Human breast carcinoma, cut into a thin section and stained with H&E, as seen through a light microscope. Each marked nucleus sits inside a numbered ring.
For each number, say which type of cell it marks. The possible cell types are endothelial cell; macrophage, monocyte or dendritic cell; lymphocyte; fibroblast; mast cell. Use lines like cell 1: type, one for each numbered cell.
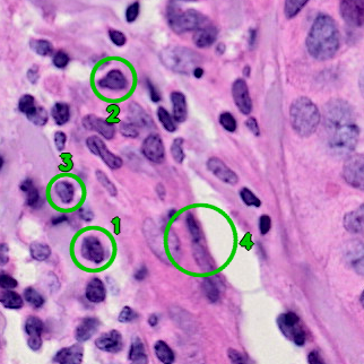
cell 1: lymphocyte
cell 2: lymphocyte
cell 3: lymphocyte
cell 4: endothelial cell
